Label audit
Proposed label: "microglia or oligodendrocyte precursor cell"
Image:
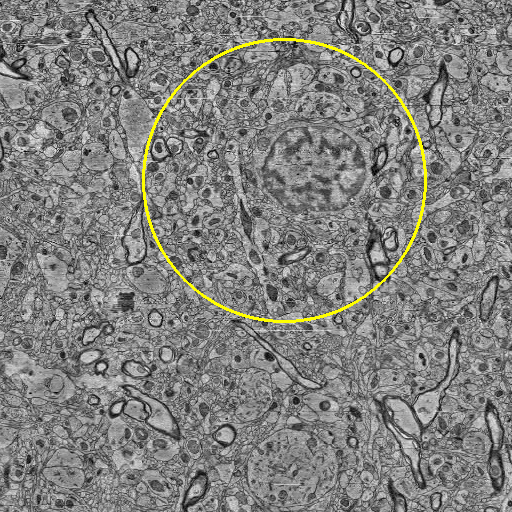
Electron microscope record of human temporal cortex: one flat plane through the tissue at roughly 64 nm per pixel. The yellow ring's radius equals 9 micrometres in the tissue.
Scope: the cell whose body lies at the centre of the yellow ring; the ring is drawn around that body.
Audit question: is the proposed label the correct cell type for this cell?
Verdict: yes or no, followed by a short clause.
No, this cell is of another type.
